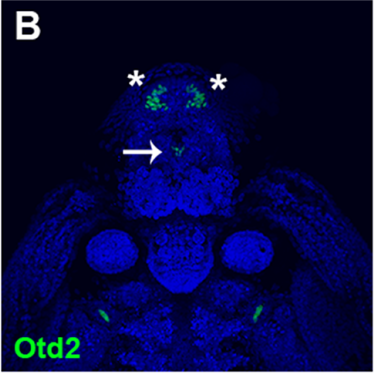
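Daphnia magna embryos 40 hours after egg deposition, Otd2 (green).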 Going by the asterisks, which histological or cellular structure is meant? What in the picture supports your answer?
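Visual system. Two bilaterally symmetrical clusters of green nuclei sit at the front of the head. Each asterisk lies beside one cluster.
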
